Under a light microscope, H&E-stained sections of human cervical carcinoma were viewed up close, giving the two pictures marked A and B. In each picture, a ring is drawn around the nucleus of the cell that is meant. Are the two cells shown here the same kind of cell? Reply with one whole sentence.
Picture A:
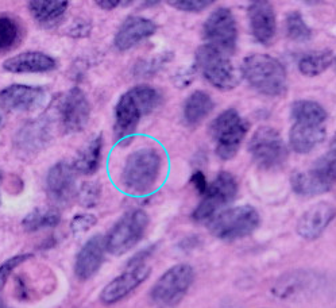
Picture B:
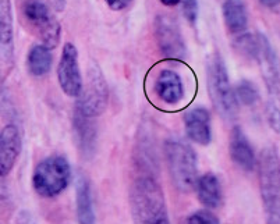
No; the cell in picture A is a squamous carcinoma cell, while the one in picture B is a lymphocyte.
